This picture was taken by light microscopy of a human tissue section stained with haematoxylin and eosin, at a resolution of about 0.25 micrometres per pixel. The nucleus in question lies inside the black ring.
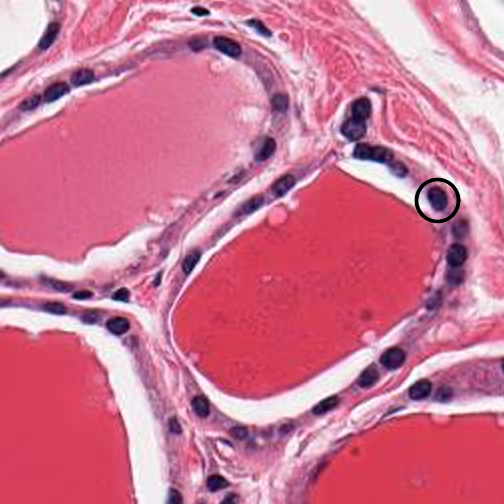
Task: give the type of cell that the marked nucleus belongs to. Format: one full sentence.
The mark falls on a nucleus belonging to a thyroid follicular cell.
